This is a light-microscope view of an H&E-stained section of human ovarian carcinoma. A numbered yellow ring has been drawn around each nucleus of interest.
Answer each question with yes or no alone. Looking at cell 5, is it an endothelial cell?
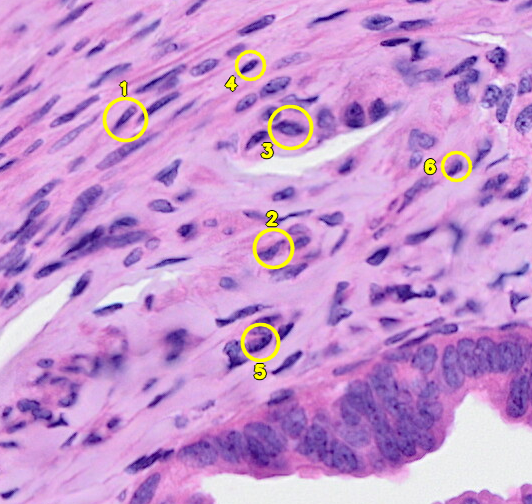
yes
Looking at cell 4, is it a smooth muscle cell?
yes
